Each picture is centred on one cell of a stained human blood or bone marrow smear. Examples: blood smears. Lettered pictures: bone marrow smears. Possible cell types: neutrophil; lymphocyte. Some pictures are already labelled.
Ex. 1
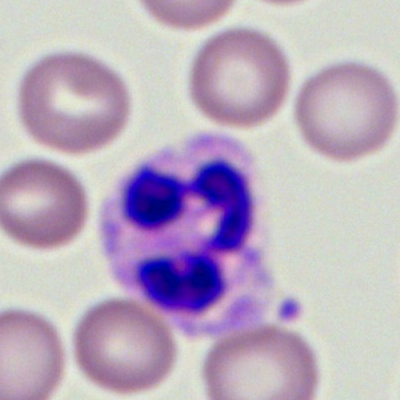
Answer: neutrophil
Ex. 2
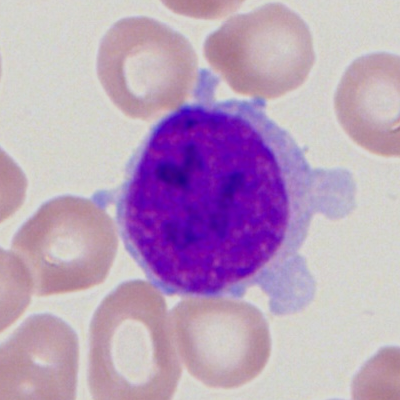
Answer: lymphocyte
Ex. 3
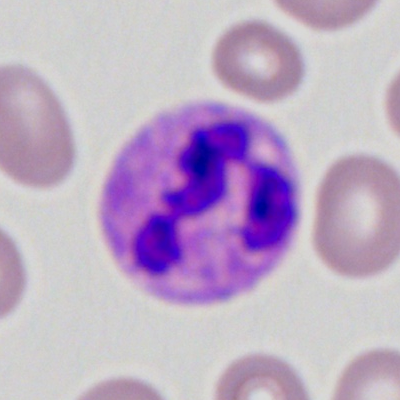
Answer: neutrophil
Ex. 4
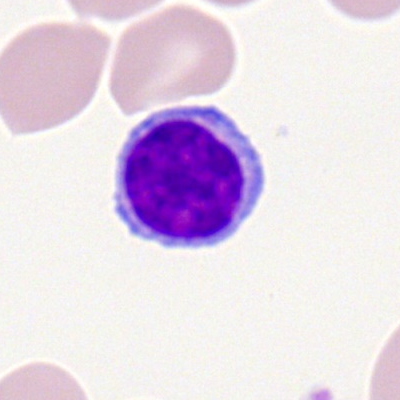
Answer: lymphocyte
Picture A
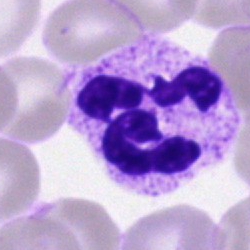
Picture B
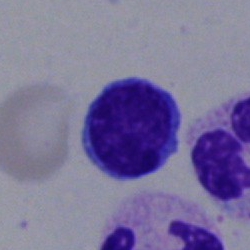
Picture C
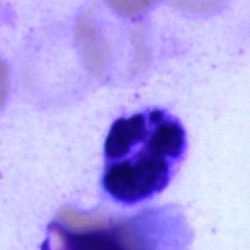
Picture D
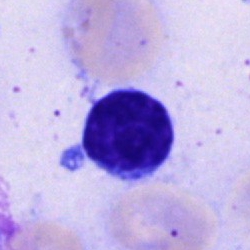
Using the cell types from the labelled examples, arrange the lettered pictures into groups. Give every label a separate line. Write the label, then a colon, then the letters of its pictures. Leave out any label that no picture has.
neutrophil: A, C
lymphocyte: B, D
